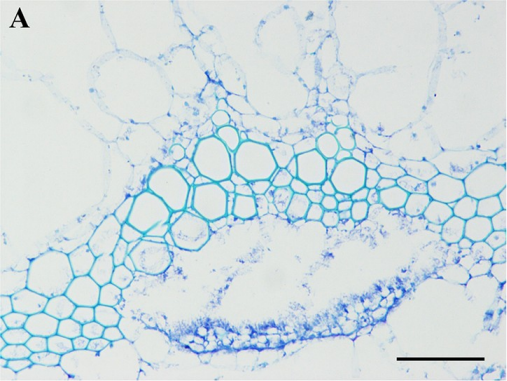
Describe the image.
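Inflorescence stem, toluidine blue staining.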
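This is a cross-section through a stem, showing a band of water-conducting and supporting tissue. Across the middle runs a band of cells with thick, turquoise-blue walls. Some are large and rounded, others small and polygonal, packed closely with no spaces between them. Above the band lie much larger cells with thin, pale walls, which are loosely arranged and partly torn in sectioning. Below the band is an open space, bordered by a narrow strip of densely purple-stained, crumpled material.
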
